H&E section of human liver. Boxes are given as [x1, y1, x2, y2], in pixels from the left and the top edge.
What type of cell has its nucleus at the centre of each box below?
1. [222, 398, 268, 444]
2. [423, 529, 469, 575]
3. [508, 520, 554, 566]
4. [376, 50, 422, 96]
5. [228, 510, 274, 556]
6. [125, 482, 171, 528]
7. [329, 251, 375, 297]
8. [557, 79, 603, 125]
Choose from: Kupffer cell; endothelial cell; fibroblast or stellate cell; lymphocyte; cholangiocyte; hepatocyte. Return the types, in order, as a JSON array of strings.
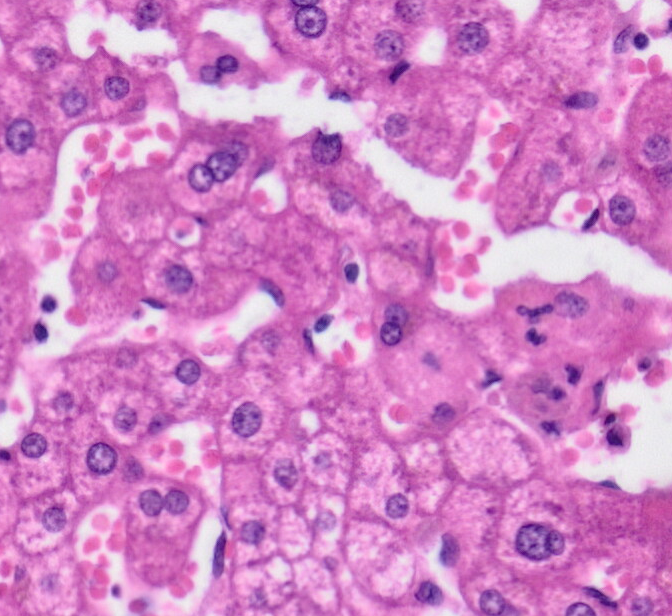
["hepatocyte", "endothelial cell", "hepatocyte", "fibroblast or stellate cell", "hepatocyte", "hepatocyte", "lymphocyte", "Kupffer cell"]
